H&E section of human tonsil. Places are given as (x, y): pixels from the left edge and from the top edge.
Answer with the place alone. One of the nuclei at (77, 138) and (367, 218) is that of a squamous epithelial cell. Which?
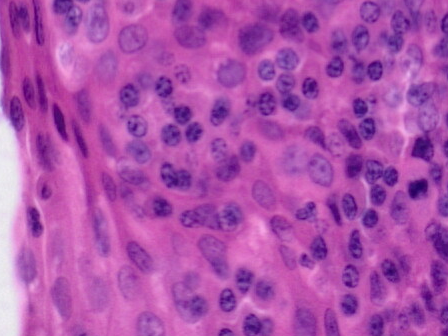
(77, 138)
